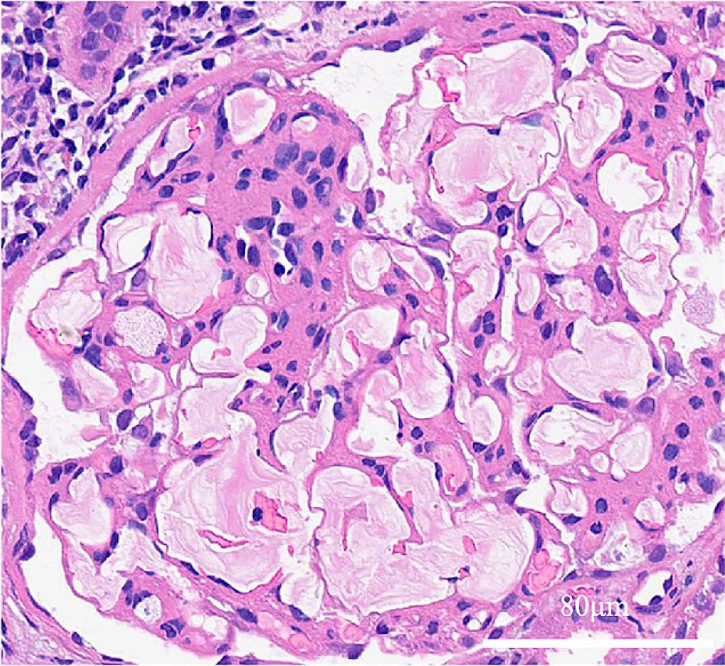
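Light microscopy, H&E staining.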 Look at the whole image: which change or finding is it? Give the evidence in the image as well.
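A glomerulus with capillary loops distended by pale pink material. The pale material shows layered, lamellated texture. Capillary lumens are markedly widened. So: laminar lipoprotein emboli in dilated glomerular capillaries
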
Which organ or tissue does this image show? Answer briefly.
Glomerular capillaries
